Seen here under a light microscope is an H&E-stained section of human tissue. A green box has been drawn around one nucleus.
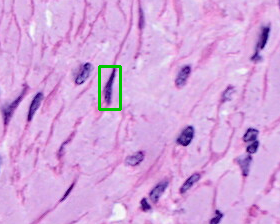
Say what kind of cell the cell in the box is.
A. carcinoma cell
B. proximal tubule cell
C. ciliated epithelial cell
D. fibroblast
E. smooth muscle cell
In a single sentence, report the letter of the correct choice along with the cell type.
In this case the cell in the box is a fibroblast, so option D is correct.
